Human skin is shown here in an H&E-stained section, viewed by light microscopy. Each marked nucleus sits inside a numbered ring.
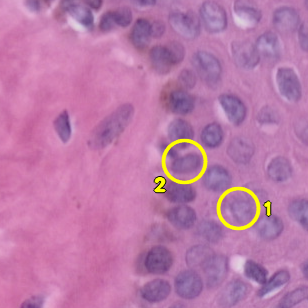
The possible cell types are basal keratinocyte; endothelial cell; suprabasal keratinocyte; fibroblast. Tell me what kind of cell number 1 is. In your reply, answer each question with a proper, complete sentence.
The nucleus labeled 1 belongs to a suprabasal keratinocyte.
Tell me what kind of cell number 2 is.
The label 2 in this section denotes a basal keratinocyte.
